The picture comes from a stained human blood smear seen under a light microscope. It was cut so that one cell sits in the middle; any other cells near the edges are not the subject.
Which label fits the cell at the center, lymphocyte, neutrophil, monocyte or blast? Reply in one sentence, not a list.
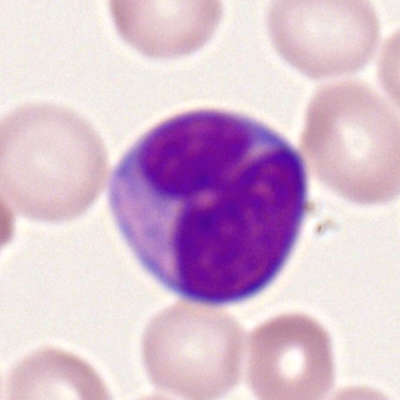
For this crop, the cell in the middle is a blast.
